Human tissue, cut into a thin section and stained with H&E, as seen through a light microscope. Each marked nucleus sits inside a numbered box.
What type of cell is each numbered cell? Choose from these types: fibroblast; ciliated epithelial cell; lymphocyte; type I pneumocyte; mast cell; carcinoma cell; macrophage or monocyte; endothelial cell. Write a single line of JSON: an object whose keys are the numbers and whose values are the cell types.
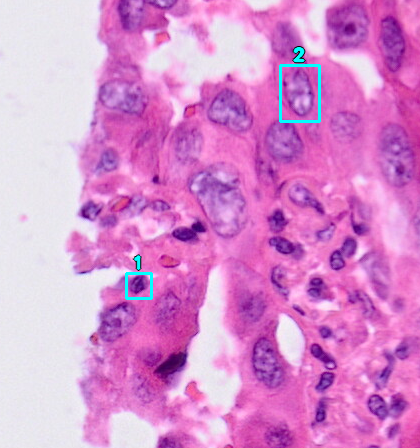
{"1": "lymphocyte", "2": "carcinoma cell"}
